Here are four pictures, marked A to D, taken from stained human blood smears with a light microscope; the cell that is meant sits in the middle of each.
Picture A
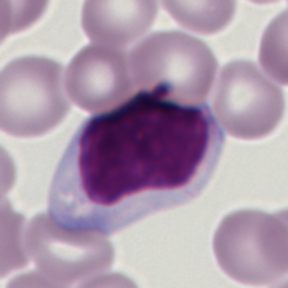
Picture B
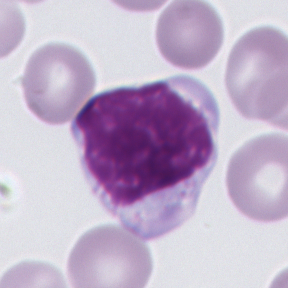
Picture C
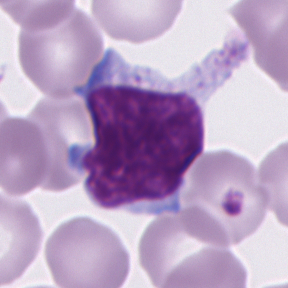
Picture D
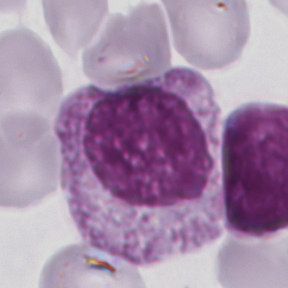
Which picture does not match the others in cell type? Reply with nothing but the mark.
D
